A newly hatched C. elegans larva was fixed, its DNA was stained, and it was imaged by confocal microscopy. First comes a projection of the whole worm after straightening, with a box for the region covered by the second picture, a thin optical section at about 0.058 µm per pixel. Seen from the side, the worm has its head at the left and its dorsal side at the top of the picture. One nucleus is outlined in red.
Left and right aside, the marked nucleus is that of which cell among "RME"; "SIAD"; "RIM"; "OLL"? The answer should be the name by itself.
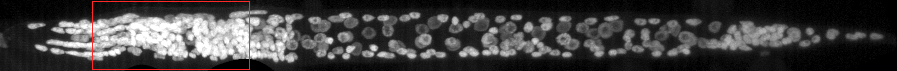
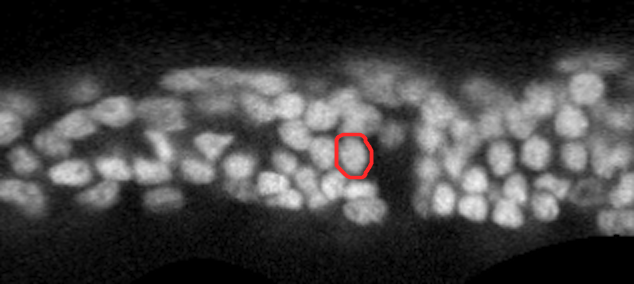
RME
